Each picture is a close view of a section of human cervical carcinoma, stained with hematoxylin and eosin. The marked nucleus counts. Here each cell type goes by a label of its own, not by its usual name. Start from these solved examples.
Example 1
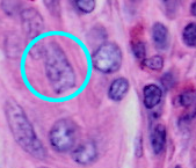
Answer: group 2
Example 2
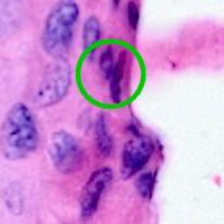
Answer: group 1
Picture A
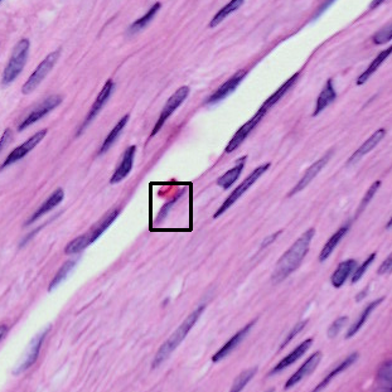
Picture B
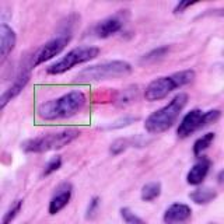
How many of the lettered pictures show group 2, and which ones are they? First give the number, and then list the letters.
Count: 2 (A, B)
